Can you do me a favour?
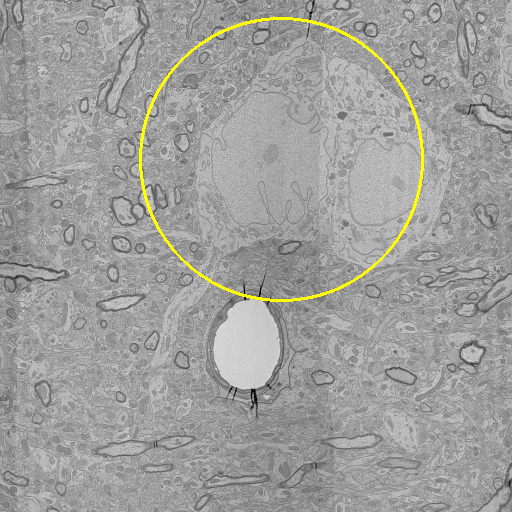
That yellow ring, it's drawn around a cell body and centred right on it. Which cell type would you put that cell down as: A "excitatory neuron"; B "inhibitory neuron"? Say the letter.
B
